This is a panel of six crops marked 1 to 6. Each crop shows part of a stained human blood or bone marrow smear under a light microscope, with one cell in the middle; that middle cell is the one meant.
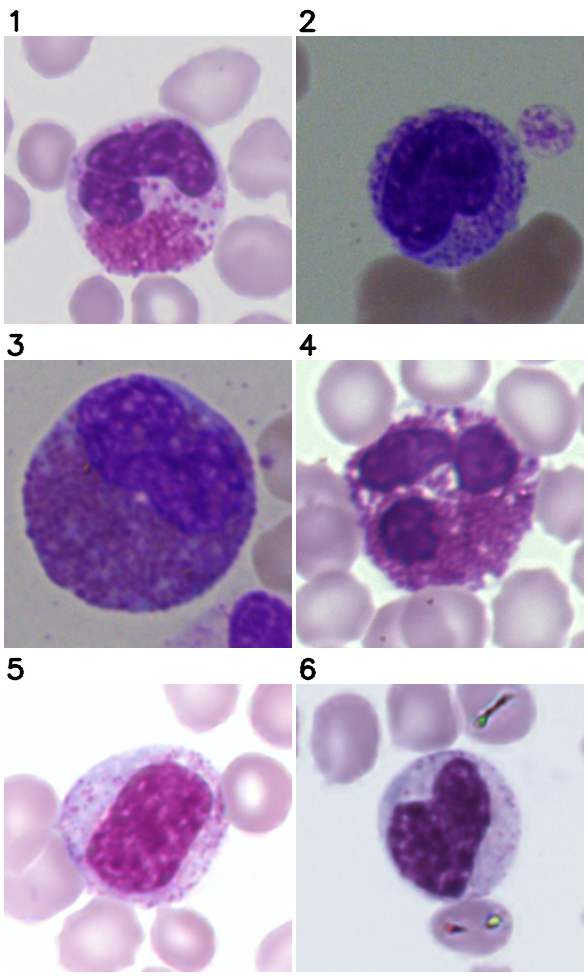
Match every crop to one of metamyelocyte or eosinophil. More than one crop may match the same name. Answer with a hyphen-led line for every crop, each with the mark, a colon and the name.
- 1: eosinophil
- 2: metamyelocyte
- 3: eosinophil
- 4: eosinophil
- 5: metamyelocyte
- 6: metamyelocyte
